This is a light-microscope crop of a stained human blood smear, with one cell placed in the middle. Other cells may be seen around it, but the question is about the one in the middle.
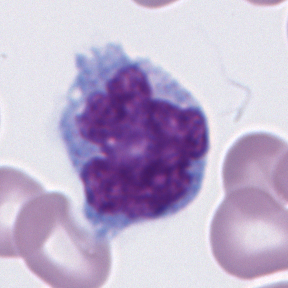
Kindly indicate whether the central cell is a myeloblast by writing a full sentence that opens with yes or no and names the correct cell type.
No, the cell positioned in the middle is a monocyte, not a myeloblast.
